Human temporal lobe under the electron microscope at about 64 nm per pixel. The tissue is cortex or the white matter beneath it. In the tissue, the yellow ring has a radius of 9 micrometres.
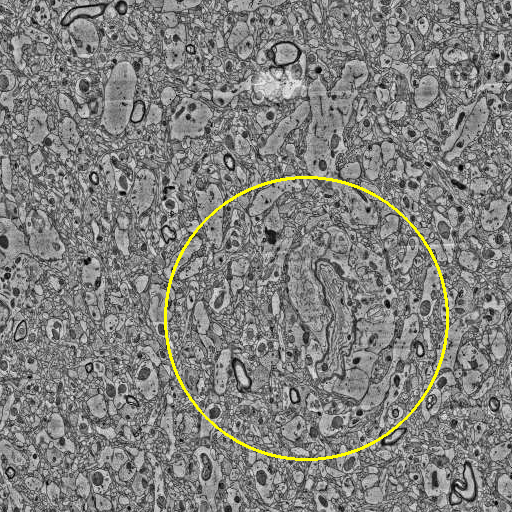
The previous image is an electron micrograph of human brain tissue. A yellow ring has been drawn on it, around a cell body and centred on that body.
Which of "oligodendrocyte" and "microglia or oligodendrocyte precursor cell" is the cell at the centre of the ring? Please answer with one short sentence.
The cell body at the centre of the ring belongs to an oligodendrocyte.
